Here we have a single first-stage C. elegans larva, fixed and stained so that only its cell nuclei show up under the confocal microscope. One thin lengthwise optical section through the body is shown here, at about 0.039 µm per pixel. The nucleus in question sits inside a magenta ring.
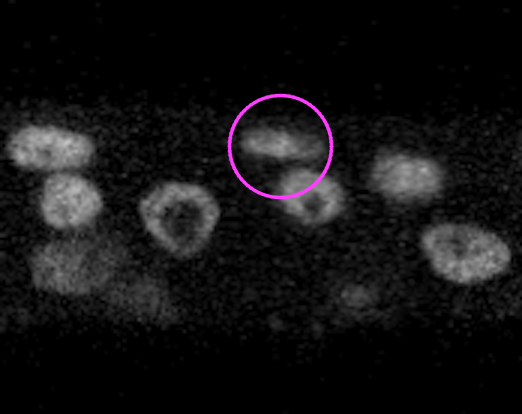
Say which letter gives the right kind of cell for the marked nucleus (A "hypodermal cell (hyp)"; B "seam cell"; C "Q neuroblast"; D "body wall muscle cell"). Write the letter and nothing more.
D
